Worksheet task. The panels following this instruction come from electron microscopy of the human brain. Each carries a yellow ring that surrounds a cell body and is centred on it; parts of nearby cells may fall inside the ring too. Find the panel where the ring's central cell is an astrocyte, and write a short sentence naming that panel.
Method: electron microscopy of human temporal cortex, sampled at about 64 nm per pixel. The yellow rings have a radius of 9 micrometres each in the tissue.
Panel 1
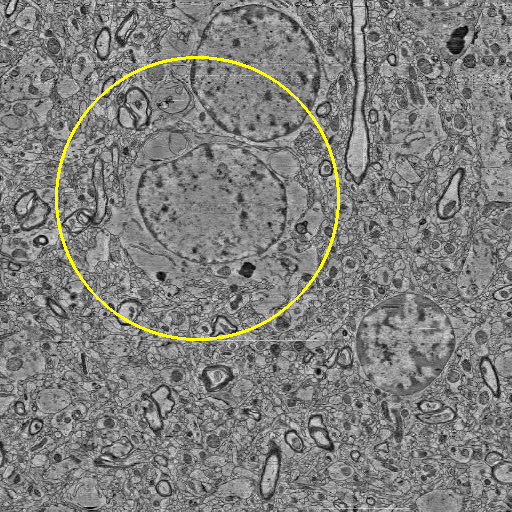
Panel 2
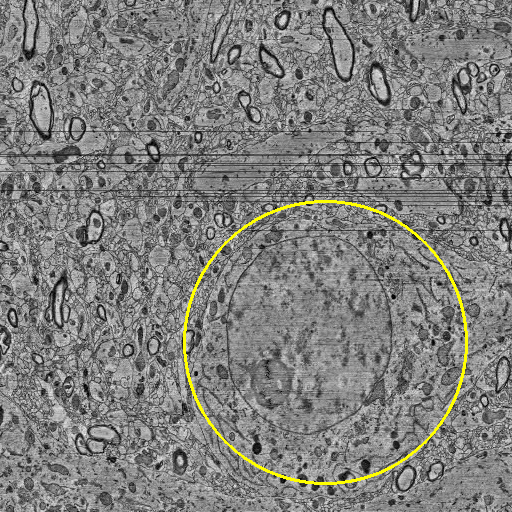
The cell sought is in Panel 1.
